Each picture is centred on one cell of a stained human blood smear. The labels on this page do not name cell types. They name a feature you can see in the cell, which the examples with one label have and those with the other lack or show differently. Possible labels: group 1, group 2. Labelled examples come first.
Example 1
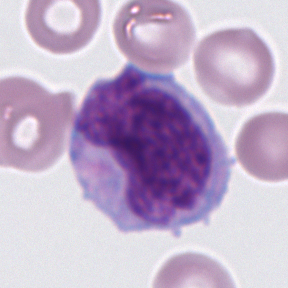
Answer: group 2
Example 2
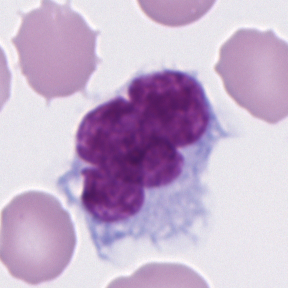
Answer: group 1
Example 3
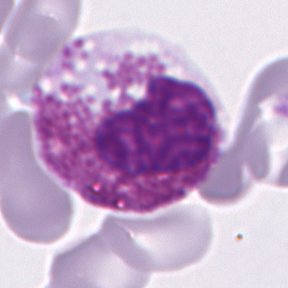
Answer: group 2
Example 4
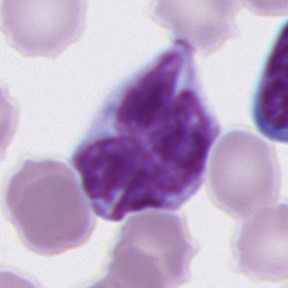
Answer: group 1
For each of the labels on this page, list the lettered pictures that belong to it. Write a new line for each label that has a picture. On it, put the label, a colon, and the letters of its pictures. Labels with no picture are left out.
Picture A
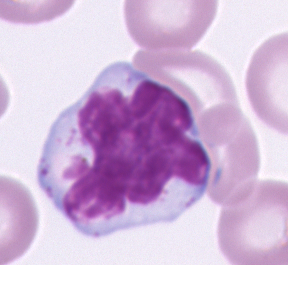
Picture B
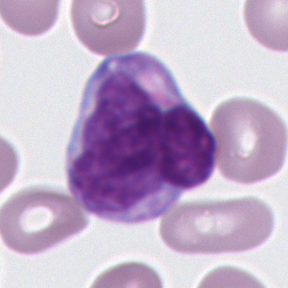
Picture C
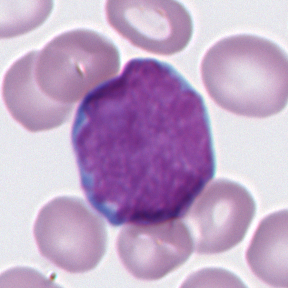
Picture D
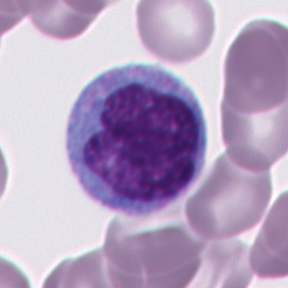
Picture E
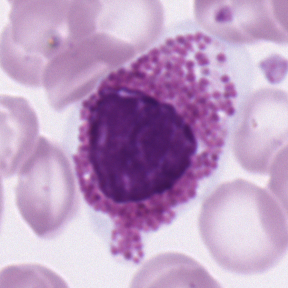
group 1: A, B
group 2: C, D, E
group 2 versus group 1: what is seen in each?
In group 2: single compact nucleus. In group 1: lobed nucleus.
